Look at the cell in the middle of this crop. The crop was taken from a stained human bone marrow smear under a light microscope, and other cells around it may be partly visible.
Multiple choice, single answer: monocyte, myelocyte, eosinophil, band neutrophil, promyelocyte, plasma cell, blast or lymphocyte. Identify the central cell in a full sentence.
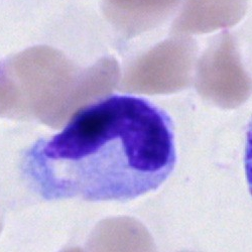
The crop shows a band neutrophil in its centre.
